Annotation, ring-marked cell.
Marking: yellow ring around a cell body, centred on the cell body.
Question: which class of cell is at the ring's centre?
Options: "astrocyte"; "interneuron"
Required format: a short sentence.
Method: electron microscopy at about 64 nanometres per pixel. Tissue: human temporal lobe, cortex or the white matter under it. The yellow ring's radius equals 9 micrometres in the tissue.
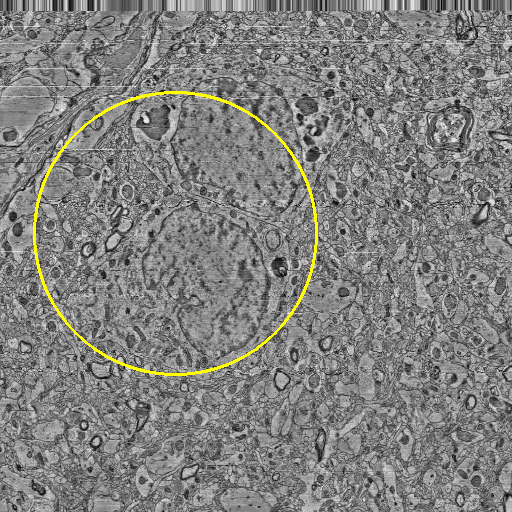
At the ring's centre is an interneuron.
